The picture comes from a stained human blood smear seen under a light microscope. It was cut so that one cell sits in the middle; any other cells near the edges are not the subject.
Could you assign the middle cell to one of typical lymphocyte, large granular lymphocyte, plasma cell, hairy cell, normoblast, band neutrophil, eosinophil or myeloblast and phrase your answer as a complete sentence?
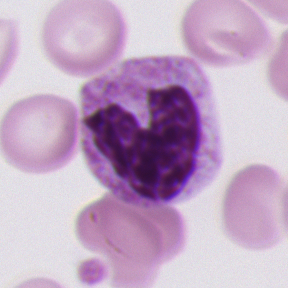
In the central position of this crop, the cell is a band neutrophil.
